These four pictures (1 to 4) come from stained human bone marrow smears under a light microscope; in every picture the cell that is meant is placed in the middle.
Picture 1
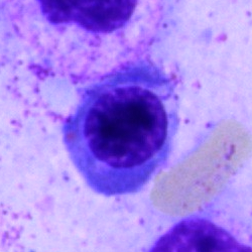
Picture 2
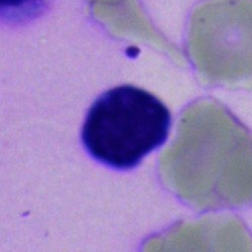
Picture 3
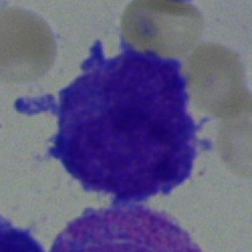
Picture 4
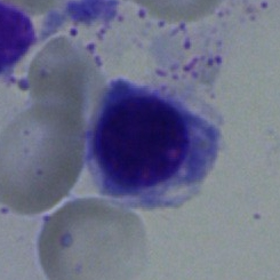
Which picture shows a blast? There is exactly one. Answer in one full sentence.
The cell in picture 3 is the blast.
